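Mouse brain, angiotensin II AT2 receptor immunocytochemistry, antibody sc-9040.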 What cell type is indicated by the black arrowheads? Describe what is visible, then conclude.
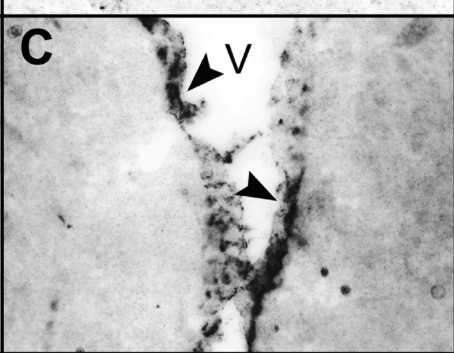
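A dark stained single cell layer lines the edge of an empty white space. The lining cells sit at the boundary between tissue and the open cavity. That points to this answer: ciliated ependymal cells.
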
